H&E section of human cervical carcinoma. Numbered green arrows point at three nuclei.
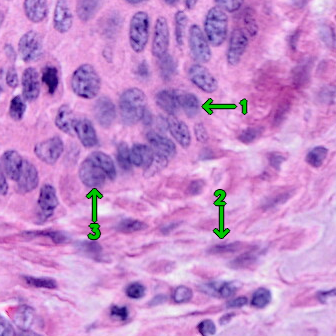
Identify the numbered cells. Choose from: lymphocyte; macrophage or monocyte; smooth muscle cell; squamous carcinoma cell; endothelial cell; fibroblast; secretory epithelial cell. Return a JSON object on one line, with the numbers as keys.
{"1": "squamous carcinoma cell", "2": "fibroblast", "3": "squamous carcinoma cell"}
